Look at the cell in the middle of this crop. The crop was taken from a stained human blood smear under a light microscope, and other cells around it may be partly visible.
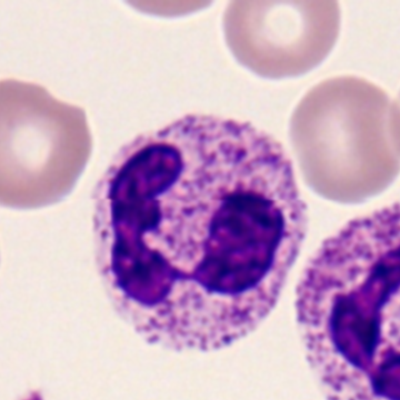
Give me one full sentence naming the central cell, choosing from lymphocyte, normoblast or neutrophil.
The centrally located cell in the crop is a neutrophil.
